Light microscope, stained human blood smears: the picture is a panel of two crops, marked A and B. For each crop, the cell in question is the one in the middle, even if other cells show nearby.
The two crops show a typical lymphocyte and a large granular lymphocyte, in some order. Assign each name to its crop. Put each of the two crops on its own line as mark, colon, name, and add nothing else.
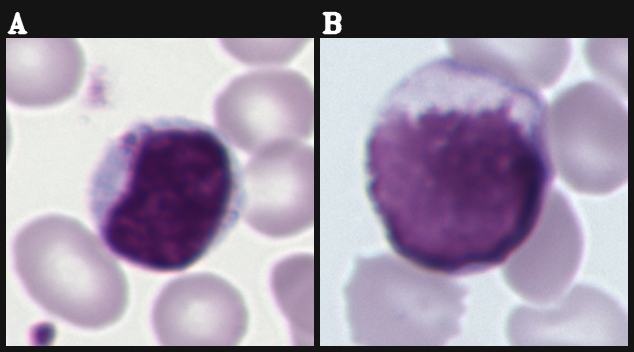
A: typical lymphocyte
B: large granular lymphocyte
